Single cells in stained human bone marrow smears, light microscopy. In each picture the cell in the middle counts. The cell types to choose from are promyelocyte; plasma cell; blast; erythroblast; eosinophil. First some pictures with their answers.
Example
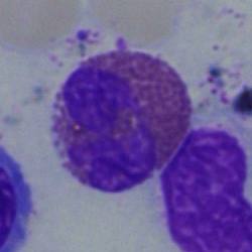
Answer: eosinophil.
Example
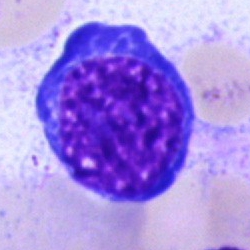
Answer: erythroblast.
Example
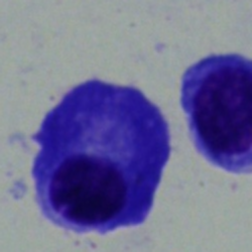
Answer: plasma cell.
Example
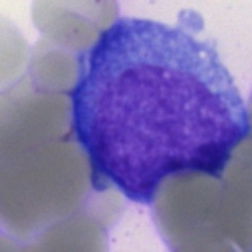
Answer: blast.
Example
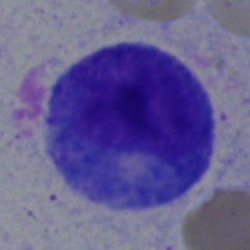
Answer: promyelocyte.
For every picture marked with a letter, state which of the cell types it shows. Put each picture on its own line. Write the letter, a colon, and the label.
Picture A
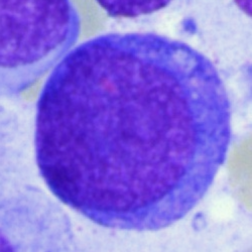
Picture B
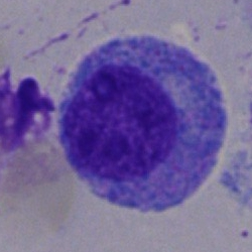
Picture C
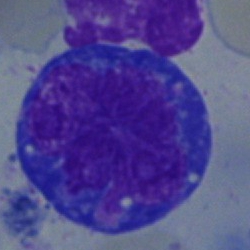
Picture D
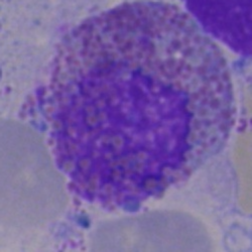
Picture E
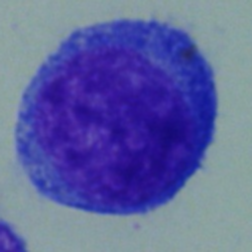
A: blast.
B: promyelocyte.
C: blast.
D: eosinophil.
E: blast.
